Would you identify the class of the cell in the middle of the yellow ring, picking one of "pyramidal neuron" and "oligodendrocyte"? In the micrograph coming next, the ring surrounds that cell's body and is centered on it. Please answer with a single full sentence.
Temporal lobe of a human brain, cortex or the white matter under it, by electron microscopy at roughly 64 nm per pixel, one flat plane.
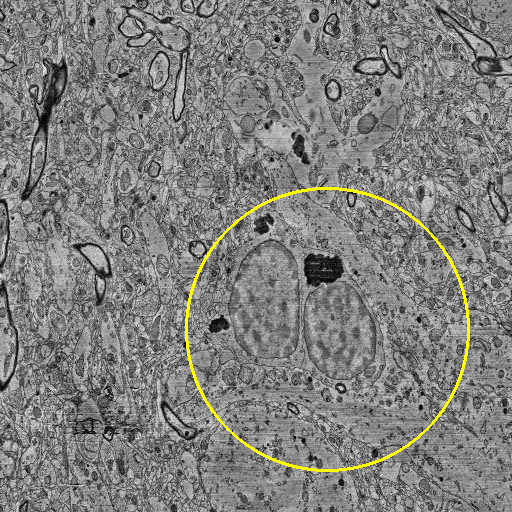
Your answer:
In the micrograph, it is an oligodendrocyte whose body lies at the ring's center.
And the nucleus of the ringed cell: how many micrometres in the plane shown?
The nucleus appears roughly 6 by 5 micrometres in this plane.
